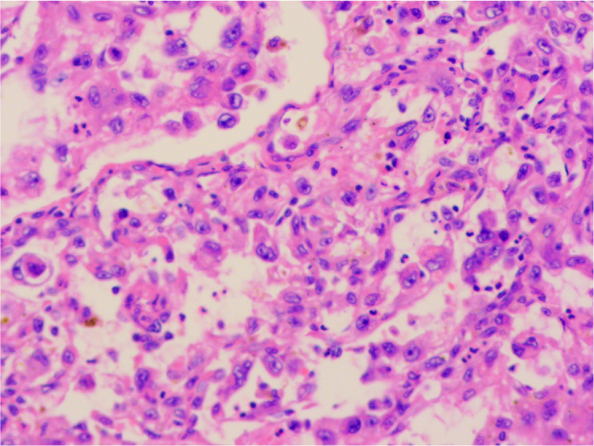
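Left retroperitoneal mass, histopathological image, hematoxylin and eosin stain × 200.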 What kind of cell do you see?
epithelioid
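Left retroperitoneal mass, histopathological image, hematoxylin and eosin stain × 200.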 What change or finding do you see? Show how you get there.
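Nuclei vary in size and shape. Many nuclei are enlarged with prominent nucleoli. Some cells are large and bizarre. That points to this answer: obvious cell atypia.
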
